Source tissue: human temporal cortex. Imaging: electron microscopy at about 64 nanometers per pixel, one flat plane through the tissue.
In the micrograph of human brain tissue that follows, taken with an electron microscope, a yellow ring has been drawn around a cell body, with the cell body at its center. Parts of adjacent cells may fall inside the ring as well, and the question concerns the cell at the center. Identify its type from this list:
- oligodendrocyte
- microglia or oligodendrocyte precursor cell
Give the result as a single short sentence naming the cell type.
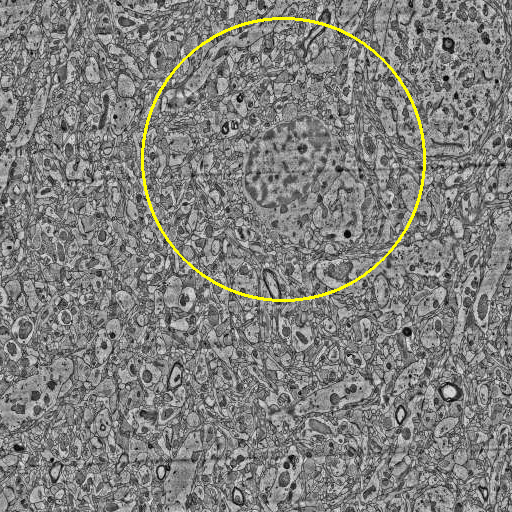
The ring is centered on an oligodendrocyte.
